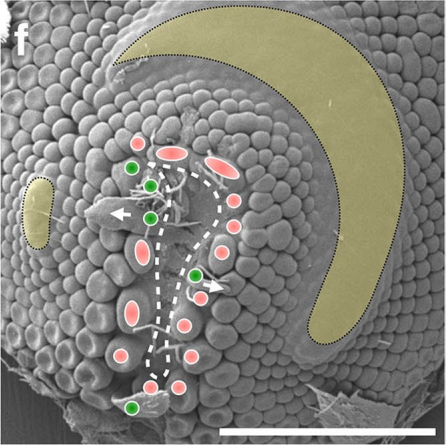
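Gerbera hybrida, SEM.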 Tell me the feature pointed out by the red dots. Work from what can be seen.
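Red dots lie on rounded bumps lining both sides of the dashed line. The bumps resemble the surrounding rounded primordia. That points to this answer: floret.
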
